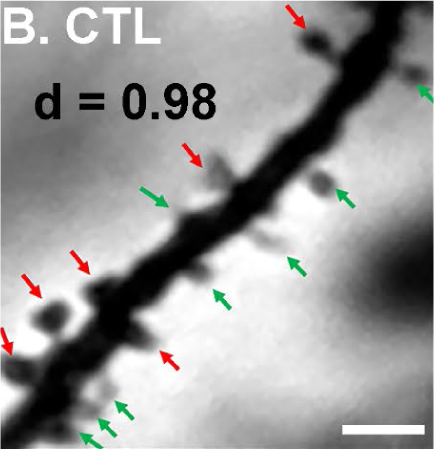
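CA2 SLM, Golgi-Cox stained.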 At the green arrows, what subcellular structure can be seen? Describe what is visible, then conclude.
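Immature spine. The green arrows point to small, thin protrusions along the dark dendrite. These protrusions lack a large rounded head.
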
